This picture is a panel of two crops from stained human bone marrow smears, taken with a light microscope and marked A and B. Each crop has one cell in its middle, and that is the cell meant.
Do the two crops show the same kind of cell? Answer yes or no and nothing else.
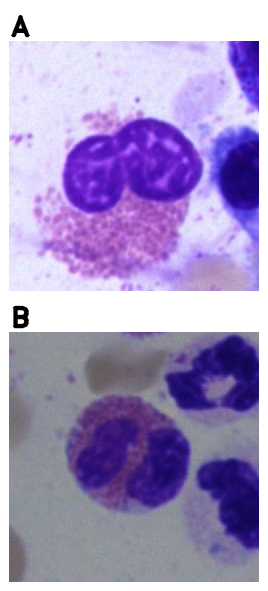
yes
